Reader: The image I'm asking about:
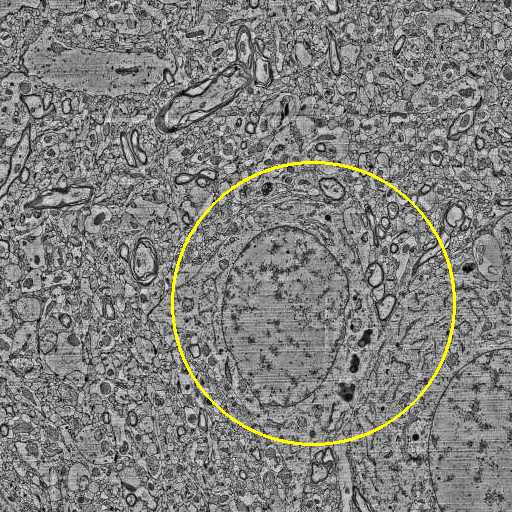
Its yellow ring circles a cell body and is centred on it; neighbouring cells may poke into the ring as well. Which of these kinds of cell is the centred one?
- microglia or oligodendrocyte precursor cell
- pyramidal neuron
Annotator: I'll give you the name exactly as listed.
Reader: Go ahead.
pyramidal neuron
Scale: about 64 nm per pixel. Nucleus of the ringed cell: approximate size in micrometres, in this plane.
In this plane, the nucleus of the cell at the centre of the ring measures about 12 by 8 micrometres.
